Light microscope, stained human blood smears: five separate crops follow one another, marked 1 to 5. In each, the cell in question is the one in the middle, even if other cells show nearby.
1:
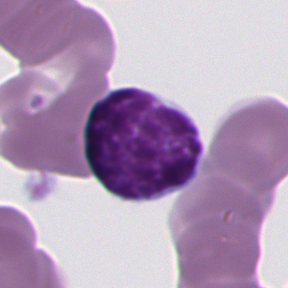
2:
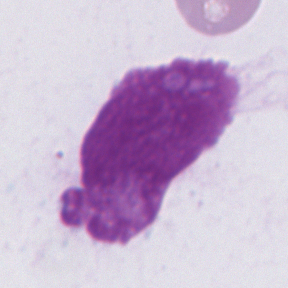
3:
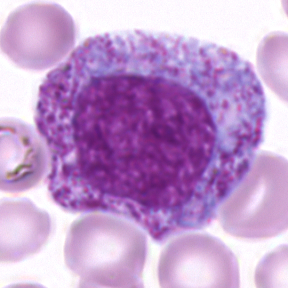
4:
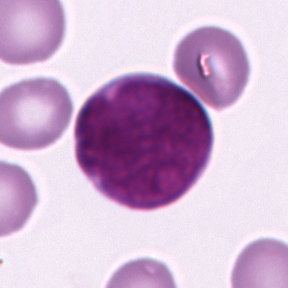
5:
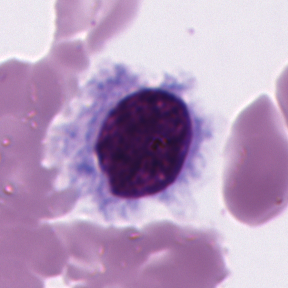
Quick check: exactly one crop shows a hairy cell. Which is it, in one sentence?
Of the labeled crops, the one with a hairy cell is crop 5.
